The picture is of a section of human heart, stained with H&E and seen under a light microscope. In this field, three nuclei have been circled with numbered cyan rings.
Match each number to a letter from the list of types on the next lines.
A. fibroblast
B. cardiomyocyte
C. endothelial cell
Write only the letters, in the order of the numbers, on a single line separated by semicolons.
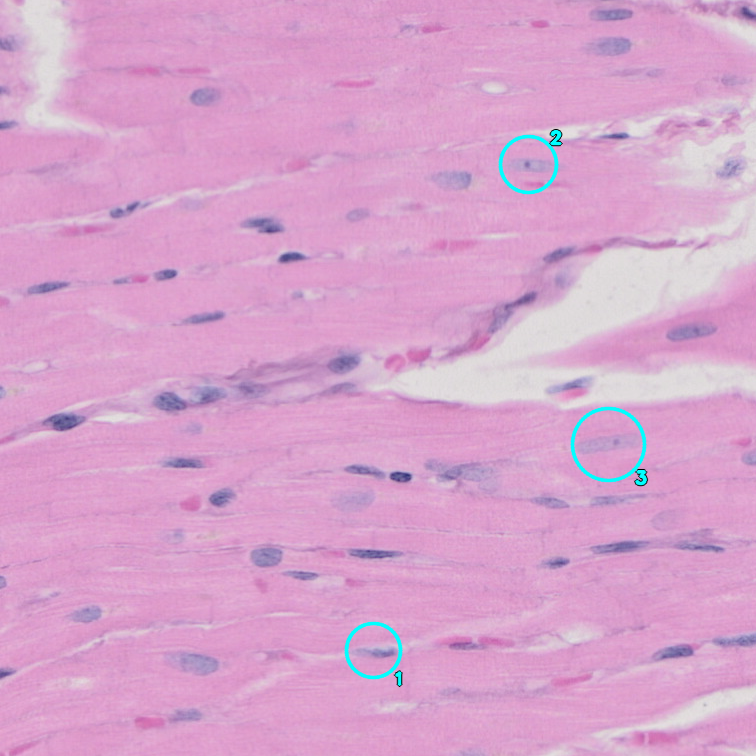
A; B; B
